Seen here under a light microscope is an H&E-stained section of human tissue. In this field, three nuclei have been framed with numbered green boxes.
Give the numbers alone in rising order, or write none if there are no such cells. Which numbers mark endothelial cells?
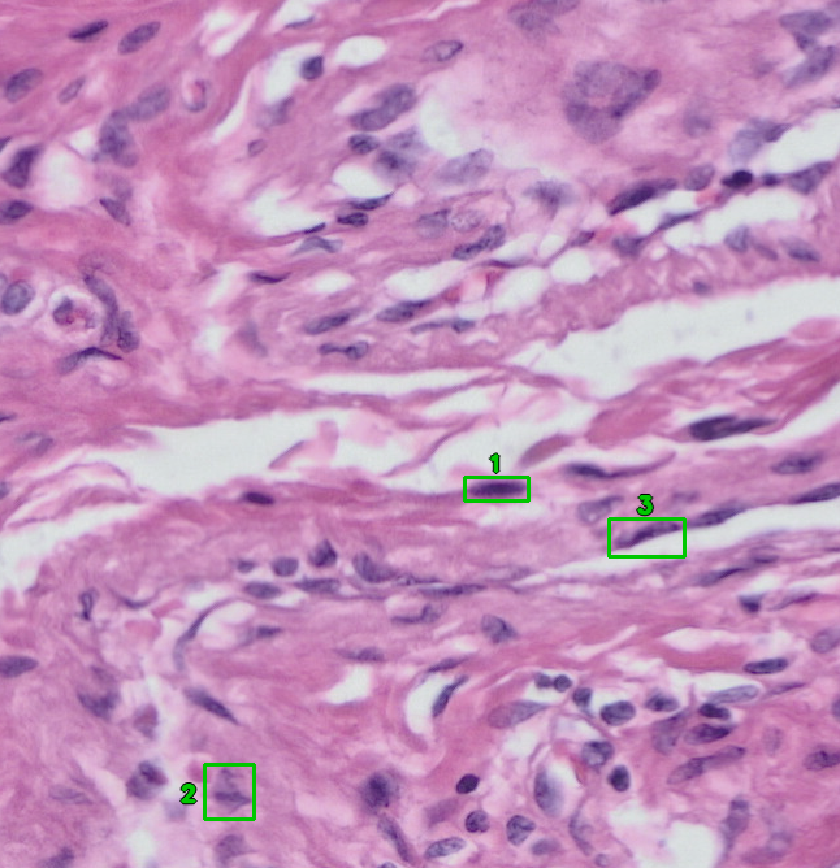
2, 3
